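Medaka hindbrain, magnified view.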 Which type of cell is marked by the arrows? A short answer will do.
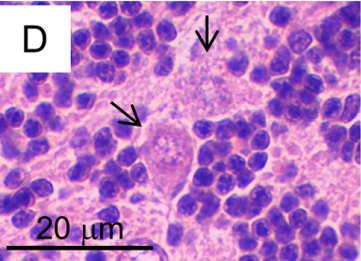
Purkinje cells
